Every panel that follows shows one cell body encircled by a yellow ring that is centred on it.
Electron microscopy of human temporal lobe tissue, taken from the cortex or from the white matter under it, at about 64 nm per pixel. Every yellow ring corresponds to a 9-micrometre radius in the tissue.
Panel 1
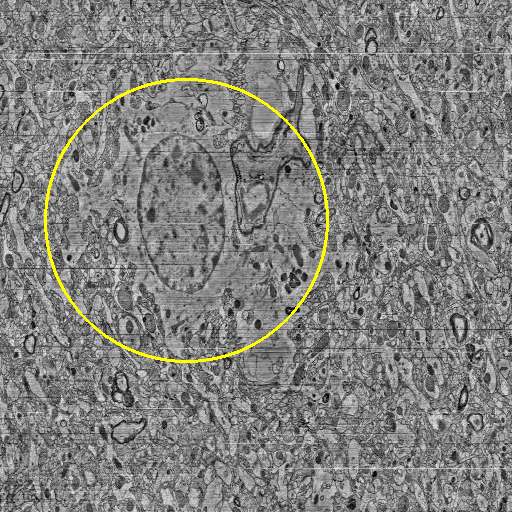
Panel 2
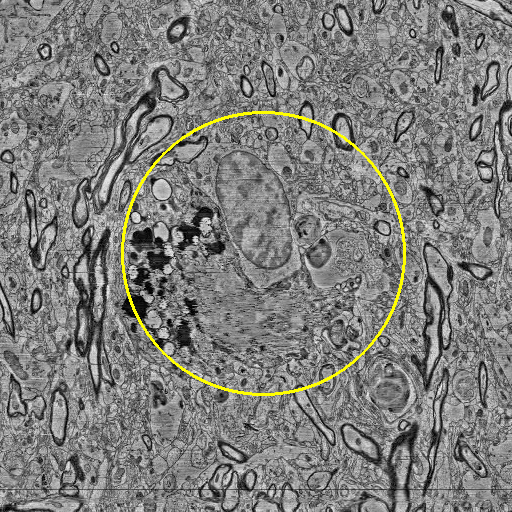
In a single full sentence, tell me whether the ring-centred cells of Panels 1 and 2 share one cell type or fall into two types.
In Panel 1 and Panel 2, the cells at the ring centres fall into two types.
